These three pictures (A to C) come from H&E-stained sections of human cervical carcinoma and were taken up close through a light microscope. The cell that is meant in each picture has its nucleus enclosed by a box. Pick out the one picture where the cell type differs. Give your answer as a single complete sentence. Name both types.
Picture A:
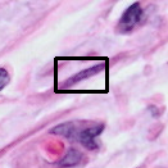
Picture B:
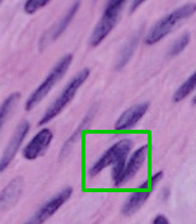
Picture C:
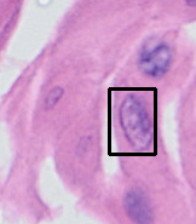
Unlike the rest, which show fibroblasts, picture C shows a squamous carcinoma cell.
